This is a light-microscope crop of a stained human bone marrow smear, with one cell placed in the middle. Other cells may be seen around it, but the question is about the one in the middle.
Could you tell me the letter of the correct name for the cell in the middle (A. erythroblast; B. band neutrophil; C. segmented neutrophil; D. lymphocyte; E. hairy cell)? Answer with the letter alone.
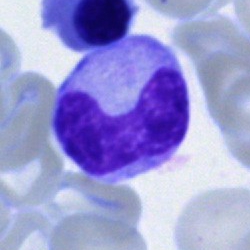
B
